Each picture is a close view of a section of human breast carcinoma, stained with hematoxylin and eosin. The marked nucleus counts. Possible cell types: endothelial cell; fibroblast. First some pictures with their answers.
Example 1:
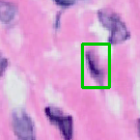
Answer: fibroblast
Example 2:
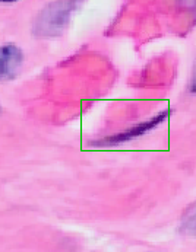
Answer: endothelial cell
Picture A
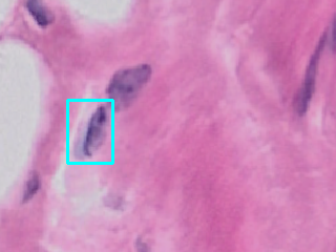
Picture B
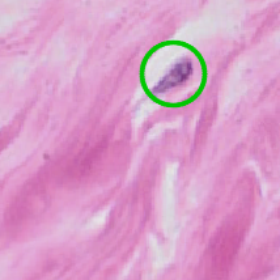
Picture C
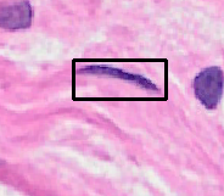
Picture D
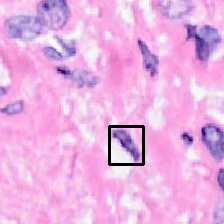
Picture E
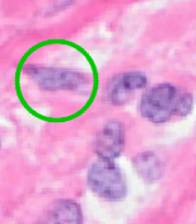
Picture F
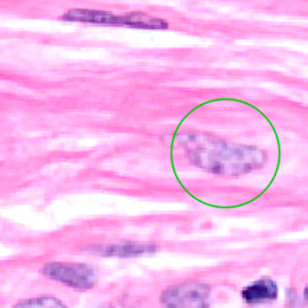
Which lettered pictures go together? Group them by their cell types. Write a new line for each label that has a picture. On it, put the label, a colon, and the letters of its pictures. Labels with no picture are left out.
fibroblast: A, B, C, D, E, F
